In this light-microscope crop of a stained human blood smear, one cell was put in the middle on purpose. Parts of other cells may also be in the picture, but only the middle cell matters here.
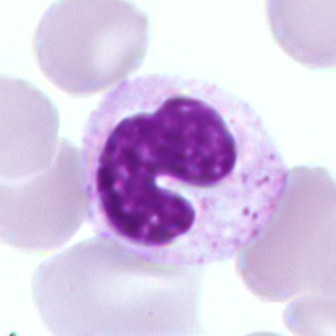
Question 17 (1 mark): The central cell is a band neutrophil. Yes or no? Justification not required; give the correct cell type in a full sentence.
Yes, in the middle of the crop is a band neutrophil.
